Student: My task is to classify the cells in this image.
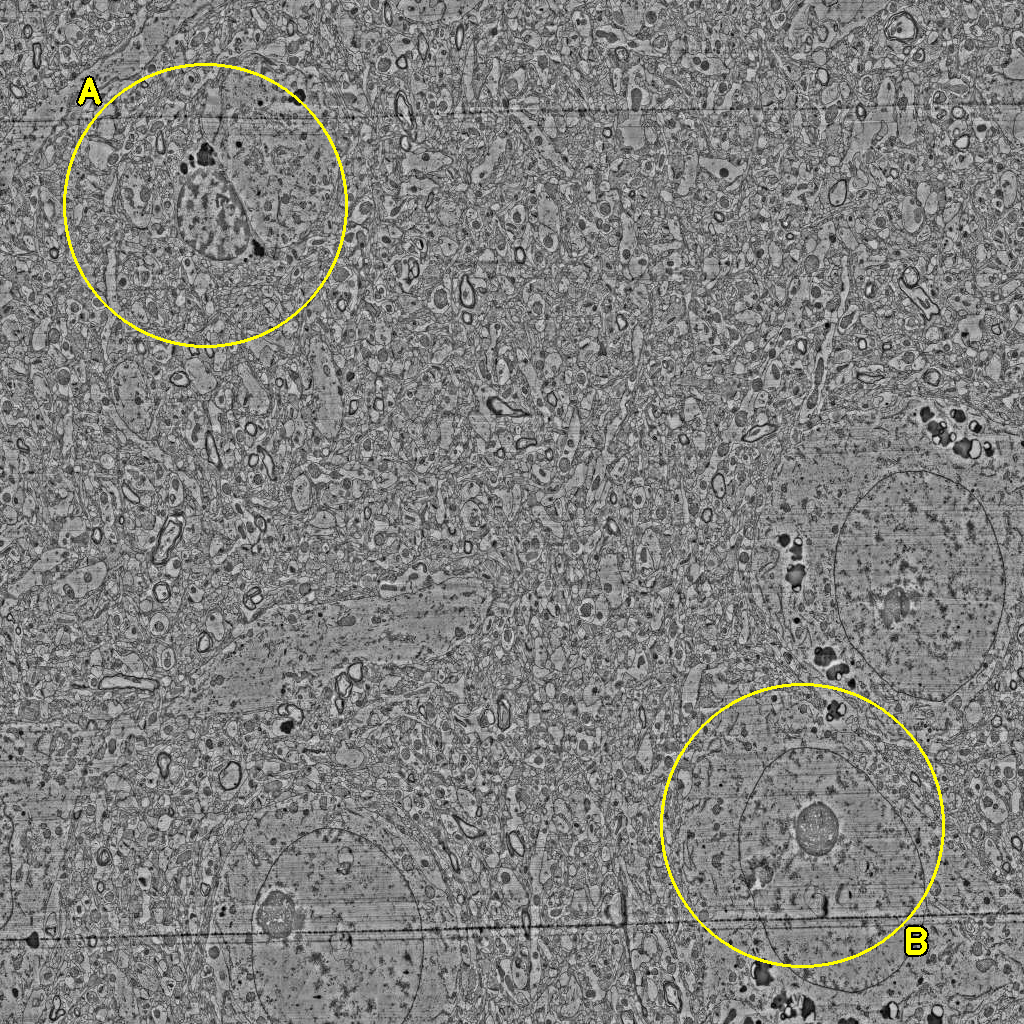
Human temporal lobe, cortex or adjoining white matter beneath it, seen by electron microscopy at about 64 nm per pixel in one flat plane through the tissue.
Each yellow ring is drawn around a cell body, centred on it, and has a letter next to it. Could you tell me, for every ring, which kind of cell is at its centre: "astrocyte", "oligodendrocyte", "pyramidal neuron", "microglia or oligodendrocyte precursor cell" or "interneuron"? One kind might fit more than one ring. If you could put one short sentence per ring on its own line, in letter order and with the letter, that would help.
Ring A's central cell is an oligodendrocyte.
Ring B's central cell is a pyramidal neuron.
